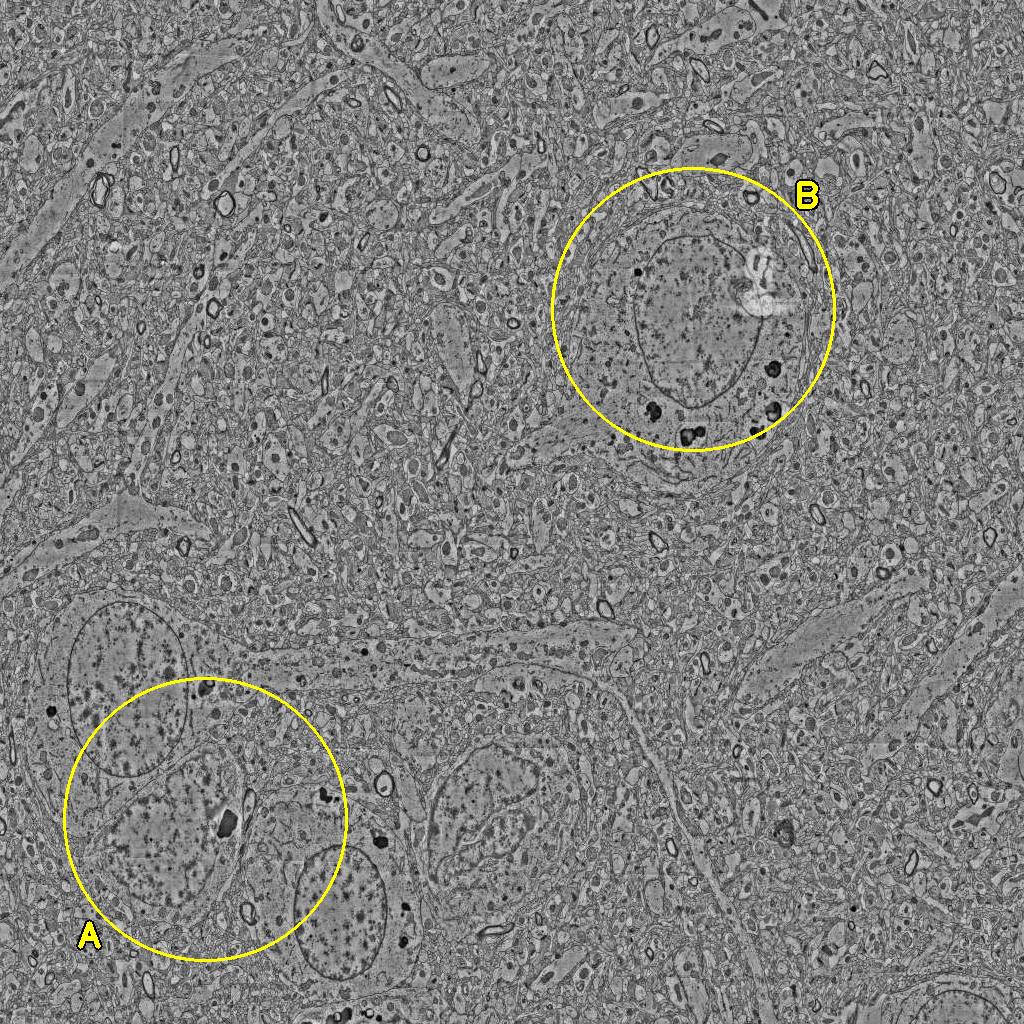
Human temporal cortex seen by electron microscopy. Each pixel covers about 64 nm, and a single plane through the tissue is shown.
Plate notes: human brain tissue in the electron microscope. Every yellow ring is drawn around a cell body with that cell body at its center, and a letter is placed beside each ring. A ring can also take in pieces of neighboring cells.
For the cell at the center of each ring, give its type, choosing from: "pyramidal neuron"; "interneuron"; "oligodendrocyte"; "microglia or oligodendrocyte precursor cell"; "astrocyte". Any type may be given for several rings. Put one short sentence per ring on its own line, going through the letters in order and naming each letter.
Ring A shows an interneuron at the center.
Ring B shows a pyramidal neuron at the center.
